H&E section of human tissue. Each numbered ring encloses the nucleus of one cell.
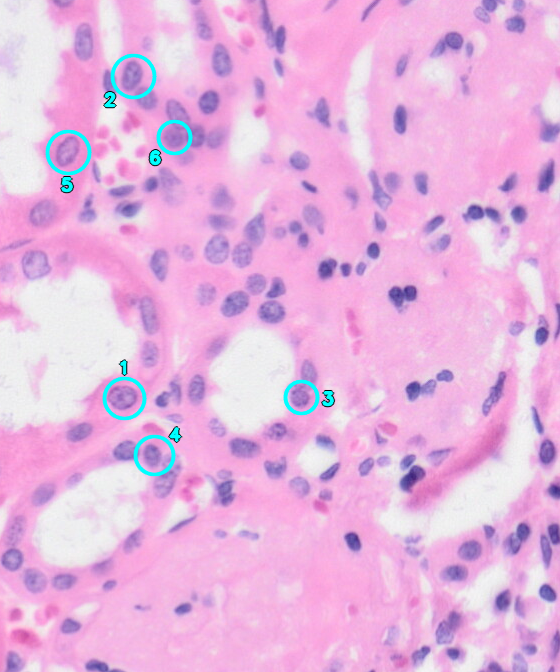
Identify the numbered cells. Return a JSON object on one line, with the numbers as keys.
{"1": "proximal tubule cell", "2": "collecting duct cell", "3": "collecting duct cell", "4": "collecting duct cell", "5": "proximal tubule cell", "6": "collecting duct cell"}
